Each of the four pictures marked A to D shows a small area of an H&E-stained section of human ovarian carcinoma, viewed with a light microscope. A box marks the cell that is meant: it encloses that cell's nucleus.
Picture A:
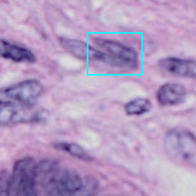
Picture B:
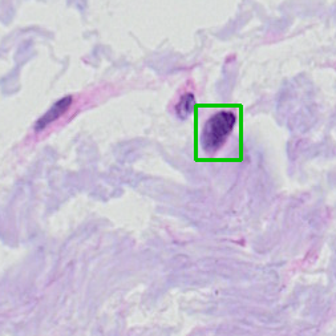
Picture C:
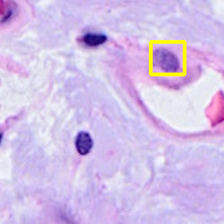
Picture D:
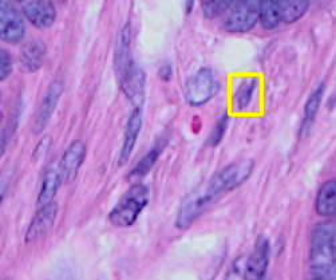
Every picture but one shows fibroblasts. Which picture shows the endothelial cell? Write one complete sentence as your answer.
Picture C shows the endothelial cell.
